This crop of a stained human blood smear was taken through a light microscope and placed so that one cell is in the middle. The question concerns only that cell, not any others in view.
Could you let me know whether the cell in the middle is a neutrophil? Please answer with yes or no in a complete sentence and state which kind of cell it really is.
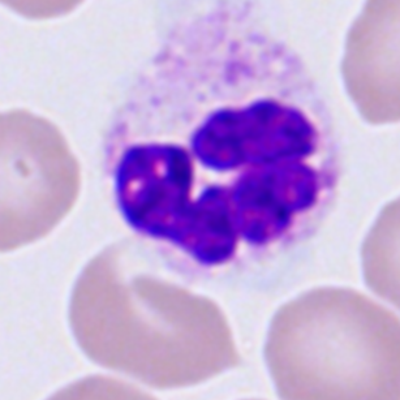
Yes, a neutrophil is present in the middle of the crop.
